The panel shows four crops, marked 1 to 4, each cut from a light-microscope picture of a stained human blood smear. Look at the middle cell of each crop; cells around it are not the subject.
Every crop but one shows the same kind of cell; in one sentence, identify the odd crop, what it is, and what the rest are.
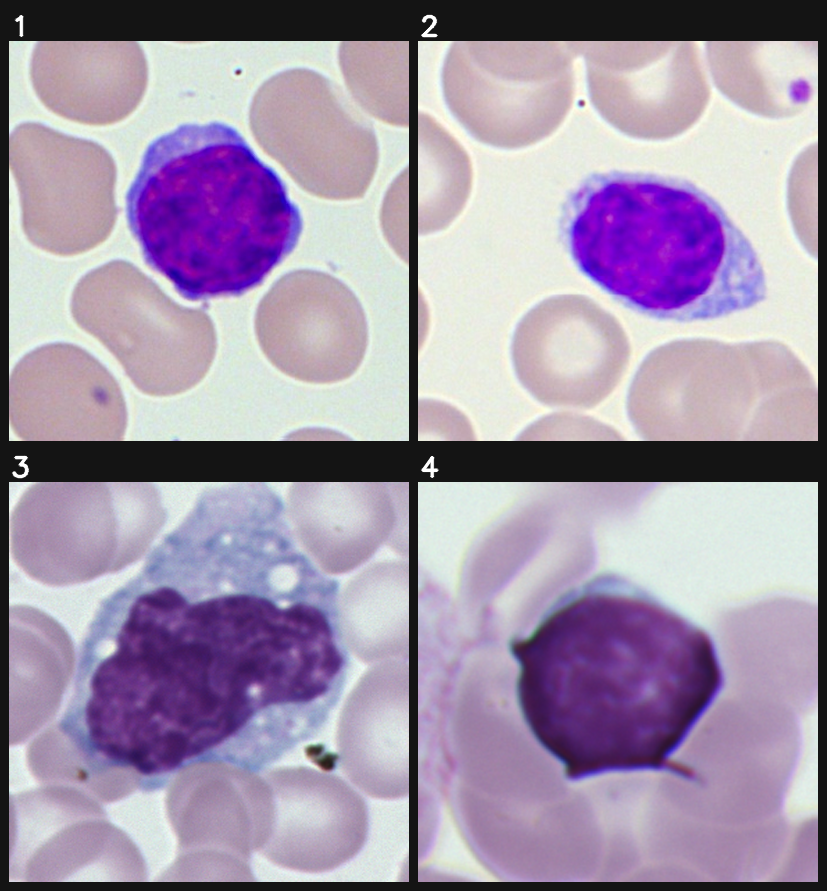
Crop 3 differs from the others in showing a monocyte; the rest all show lymphocytes.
